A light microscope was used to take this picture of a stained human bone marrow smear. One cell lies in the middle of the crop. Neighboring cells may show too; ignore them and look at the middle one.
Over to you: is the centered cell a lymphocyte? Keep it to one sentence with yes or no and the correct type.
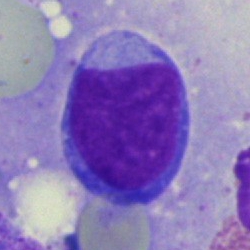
No, instead of being a lymphocyte, the middle cell is a blast.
